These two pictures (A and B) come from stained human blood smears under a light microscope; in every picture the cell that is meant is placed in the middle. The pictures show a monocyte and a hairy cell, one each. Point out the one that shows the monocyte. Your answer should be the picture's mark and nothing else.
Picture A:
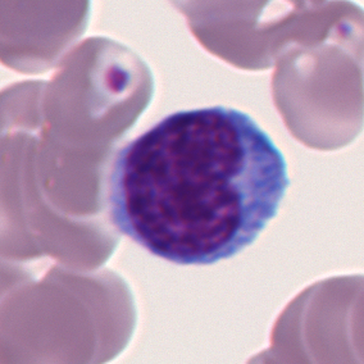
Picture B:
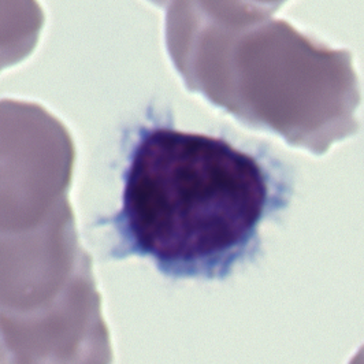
A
